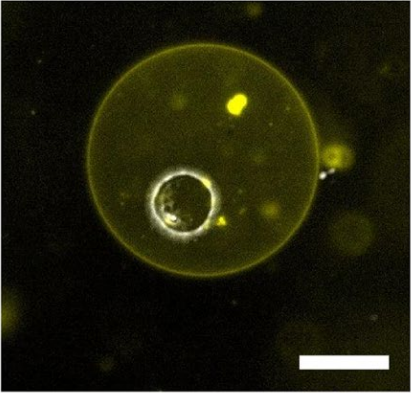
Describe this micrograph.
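A single rounded cell lies enclosed within a much larger spherical vesicle, whose boundary shows as a thin, even yellow fluorescent ring. The cell sits off-centre in the lower left part of the vesicle and spans roughly a quarter of its diameter. It has a bright refractile rim and a granular interior. A few small bright yellow dots lie scattered inside the vesicle.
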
